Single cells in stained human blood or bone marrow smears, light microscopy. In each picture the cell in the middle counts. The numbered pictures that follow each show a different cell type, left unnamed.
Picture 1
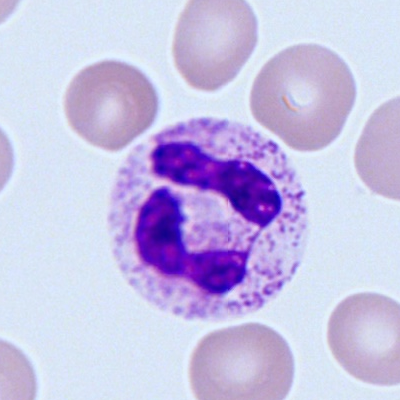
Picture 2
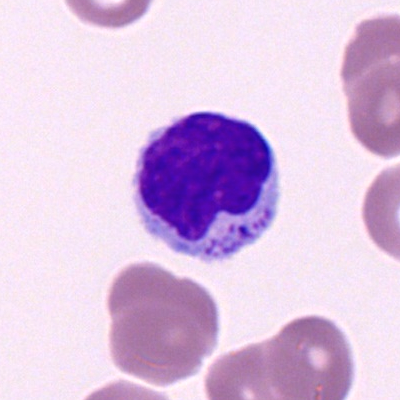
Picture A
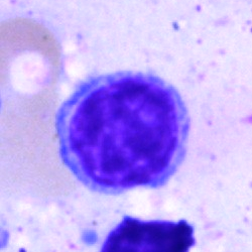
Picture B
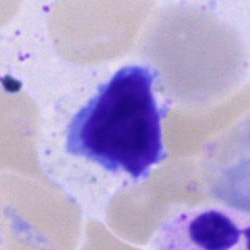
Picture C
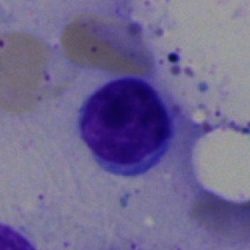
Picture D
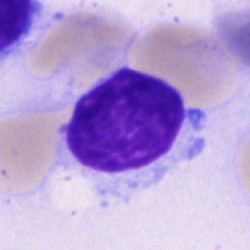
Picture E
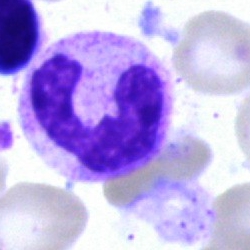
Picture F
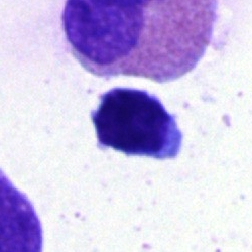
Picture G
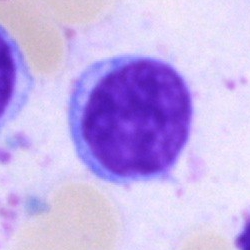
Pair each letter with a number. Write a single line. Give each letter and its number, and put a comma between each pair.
A 2, B 2, C 2, D 2, E 1, F 2, G 2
